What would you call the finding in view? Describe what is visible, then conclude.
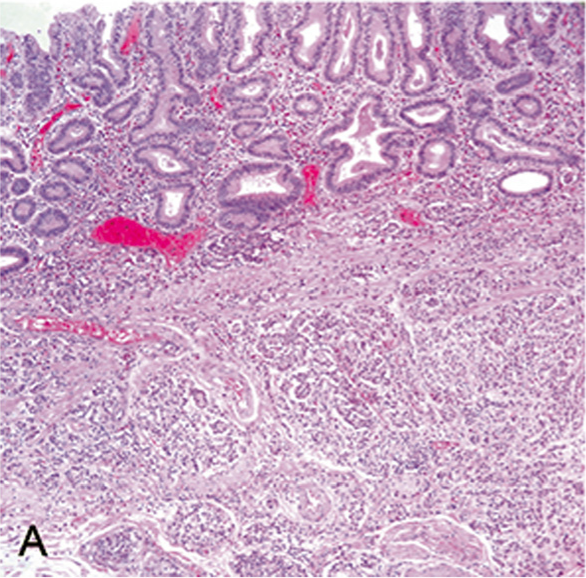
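The lower half is filled with nests of small, uniform cells with round nuclei. The nests lie beneath the glandular mucosa, separated from it by pink fibrous tissue. On this evidence: Neuroendocrine tumor.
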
